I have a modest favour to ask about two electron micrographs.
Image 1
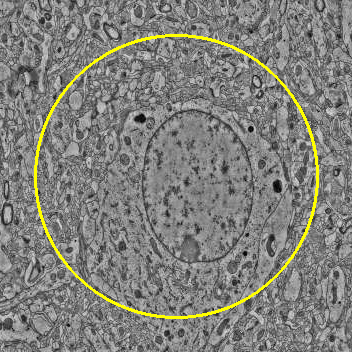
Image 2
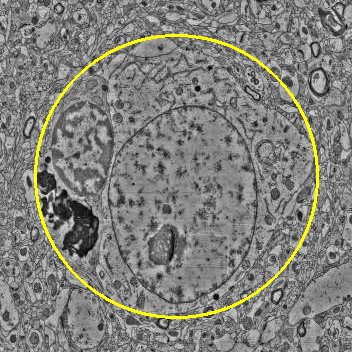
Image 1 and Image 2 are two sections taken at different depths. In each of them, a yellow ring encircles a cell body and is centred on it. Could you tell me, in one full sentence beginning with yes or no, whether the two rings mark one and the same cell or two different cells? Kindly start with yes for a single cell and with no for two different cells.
No, the two rings are not on the same cell.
